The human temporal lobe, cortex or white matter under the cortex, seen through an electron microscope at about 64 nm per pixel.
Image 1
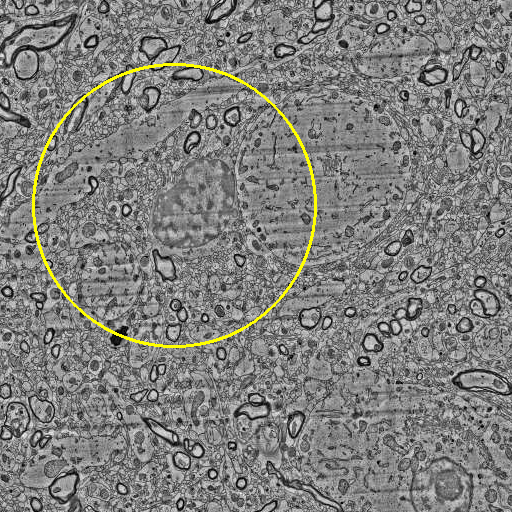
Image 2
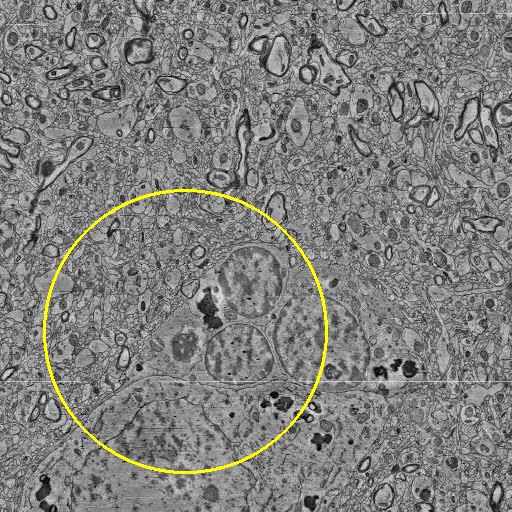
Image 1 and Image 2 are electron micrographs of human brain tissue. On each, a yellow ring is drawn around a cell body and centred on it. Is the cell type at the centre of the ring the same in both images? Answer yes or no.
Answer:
yes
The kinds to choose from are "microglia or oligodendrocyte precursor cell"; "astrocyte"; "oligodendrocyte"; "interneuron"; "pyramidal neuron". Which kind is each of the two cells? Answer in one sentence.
Both pictures show an oligodendrocyte at the centre of the ring.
